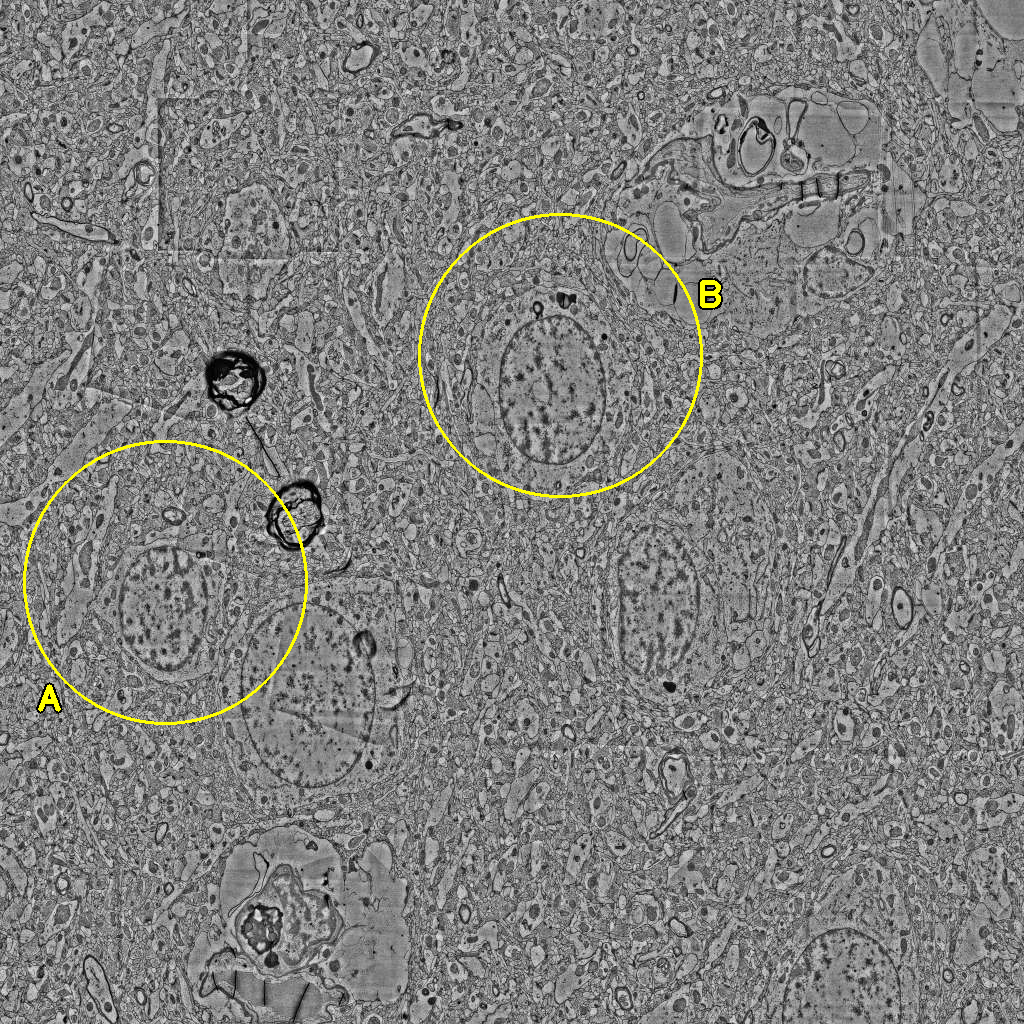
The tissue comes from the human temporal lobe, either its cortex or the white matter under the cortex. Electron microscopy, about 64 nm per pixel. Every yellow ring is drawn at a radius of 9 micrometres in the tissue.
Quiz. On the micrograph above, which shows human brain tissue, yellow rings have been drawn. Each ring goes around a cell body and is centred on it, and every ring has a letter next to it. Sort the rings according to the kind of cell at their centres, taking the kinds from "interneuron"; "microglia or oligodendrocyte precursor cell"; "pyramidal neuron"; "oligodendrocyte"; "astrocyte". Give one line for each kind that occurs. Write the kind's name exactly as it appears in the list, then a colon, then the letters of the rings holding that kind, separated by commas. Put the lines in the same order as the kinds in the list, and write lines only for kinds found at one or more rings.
interneuron: A
pyramidal neuron: B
